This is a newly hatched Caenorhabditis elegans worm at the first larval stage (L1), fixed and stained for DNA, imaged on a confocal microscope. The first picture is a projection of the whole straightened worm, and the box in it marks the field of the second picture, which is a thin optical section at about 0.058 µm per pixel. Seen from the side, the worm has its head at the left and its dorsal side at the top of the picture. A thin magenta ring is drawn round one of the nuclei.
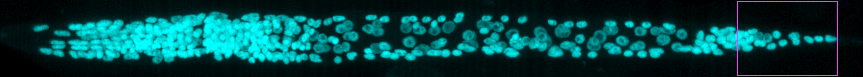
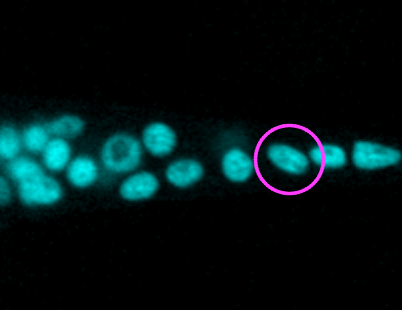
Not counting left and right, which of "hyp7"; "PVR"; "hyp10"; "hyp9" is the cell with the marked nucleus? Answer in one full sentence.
The marked cell is hyp9, a hypodermal cell (hyp).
